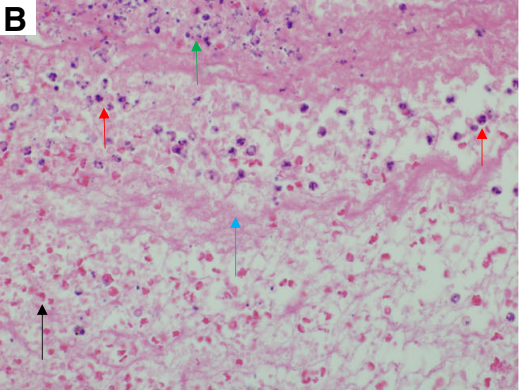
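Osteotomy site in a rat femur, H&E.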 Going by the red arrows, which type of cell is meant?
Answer: Degenerate neutrophils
